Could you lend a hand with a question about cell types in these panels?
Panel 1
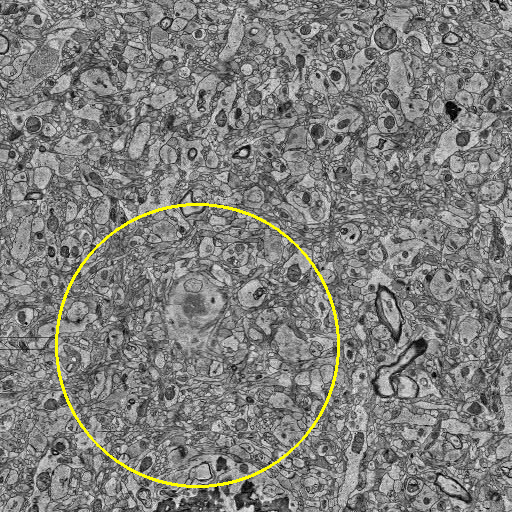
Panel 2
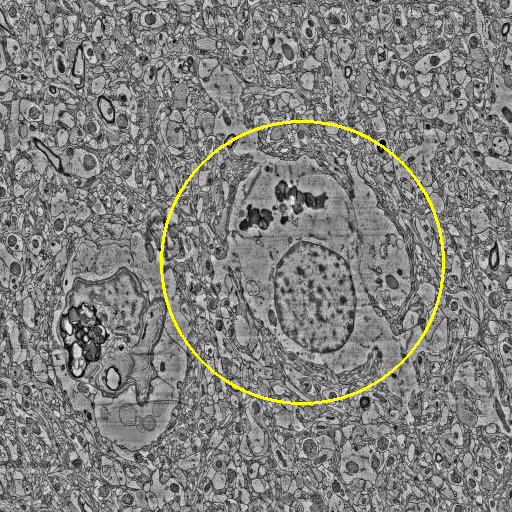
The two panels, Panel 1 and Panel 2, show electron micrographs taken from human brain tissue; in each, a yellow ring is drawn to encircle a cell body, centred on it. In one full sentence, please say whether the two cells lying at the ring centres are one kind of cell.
No, the cells at the ring centres in the two panels are two kinds of cell.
